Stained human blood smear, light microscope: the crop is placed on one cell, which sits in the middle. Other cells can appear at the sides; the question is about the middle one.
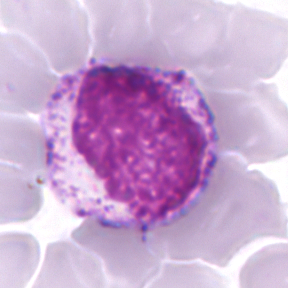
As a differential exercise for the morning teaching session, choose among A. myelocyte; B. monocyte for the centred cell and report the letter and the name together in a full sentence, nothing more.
The expected answer is option A, the central cell being a myelocyte.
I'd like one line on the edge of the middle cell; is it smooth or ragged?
The outline of this cell is not smooth but ragged or drawn out into projections.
